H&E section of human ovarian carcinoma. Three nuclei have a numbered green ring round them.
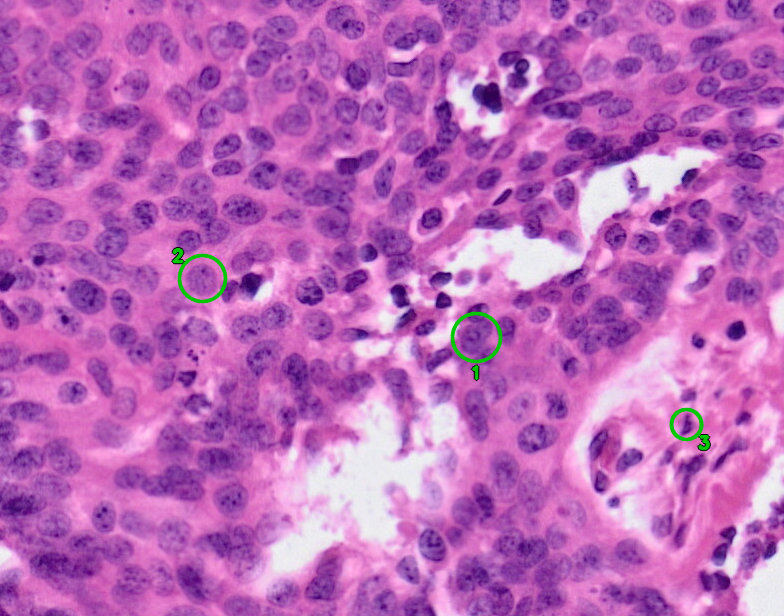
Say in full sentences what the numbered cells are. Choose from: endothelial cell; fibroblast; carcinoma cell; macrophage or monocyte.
Cell 1 is a carcinoma cell, cell 2 is a carcinoma cell and cell 3 is a fibroblast.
